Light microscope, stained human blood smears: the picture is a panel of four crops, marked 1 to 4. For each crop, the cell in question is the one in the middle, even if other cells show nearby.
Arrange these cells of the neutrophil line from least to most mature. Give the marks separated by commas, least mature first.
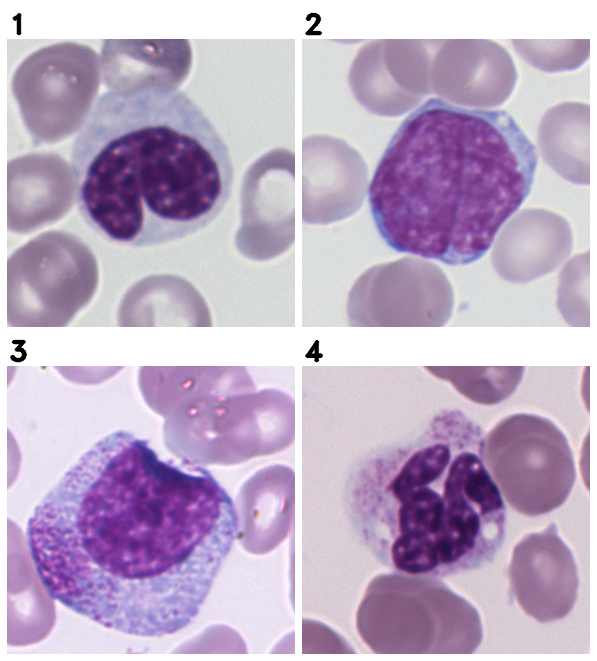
2, 3, 1, 4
